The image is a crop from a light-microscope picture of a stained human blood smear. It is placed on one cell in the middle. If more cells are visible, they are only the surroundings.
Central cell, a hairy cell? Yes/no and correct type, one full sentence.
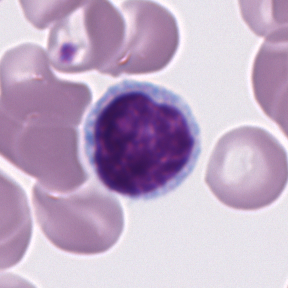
No, the central cell is classed as a typical lymphocyte, not a hairy cell.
